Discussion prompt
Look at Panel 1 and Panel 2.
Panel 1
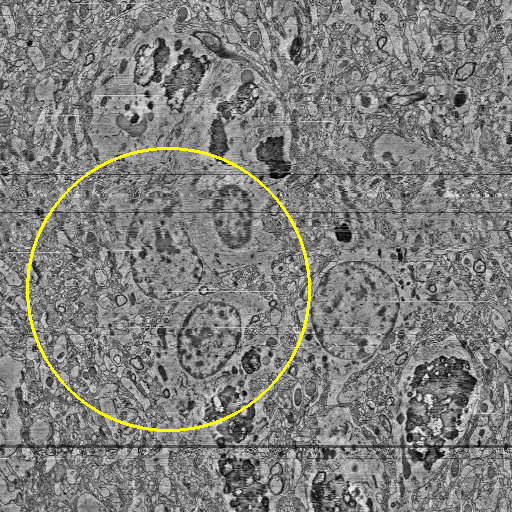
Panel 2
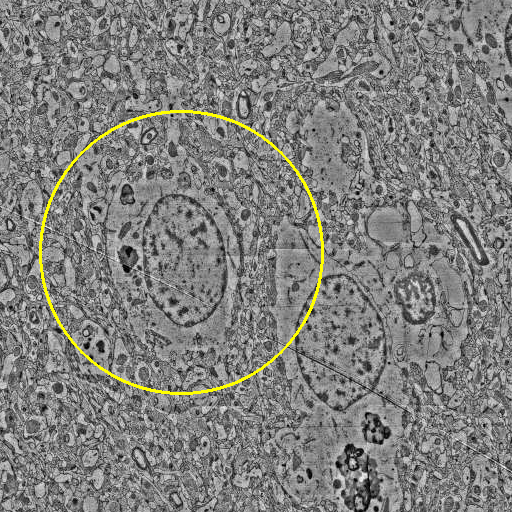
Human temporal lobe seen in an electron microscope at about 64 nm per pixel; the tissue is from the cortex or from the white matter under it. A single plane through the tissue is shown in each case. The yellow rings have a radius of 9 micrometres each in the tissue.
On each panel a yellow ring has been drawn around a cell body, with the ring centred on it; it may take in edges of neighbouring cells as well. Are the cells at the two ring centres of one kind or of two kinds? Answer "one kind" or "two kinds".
one kind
